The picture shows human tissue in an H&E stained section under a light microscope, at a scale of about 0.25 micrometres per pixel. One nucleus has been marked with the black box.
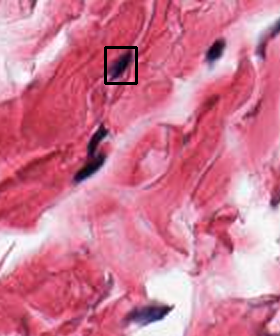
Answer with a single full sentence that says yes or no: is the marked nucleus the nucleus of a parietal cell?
No, the marked nucleus, which belongs to a supporting cell, is not part of a parietal cell.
